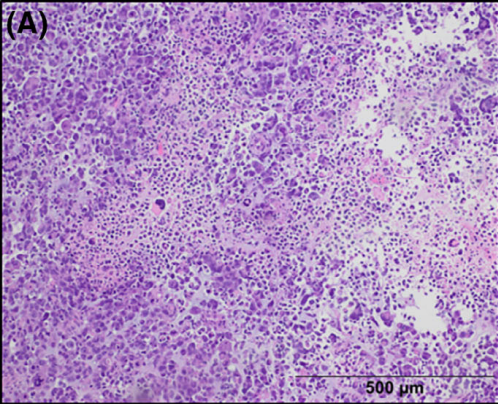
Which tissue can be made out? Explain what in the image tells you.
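Scattered enlarged, darkly stained nuclei among the crowded cells.
Conclusion: densely cellular neoplasm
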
